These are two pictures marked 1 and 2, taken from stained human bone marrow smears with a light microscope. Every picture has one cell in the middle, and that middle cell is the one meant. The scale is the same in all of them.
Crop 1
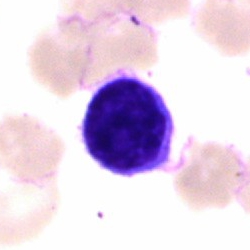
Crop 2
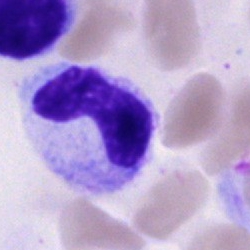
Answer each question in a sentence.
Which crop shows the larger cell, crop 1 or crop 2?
The cell in crop 2 is larger, with about 1.5 times the area of the one in crop 1.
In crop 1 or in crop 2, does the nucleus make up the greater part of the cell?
It is the cell in crop 1 that is filled more by its nucleus.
